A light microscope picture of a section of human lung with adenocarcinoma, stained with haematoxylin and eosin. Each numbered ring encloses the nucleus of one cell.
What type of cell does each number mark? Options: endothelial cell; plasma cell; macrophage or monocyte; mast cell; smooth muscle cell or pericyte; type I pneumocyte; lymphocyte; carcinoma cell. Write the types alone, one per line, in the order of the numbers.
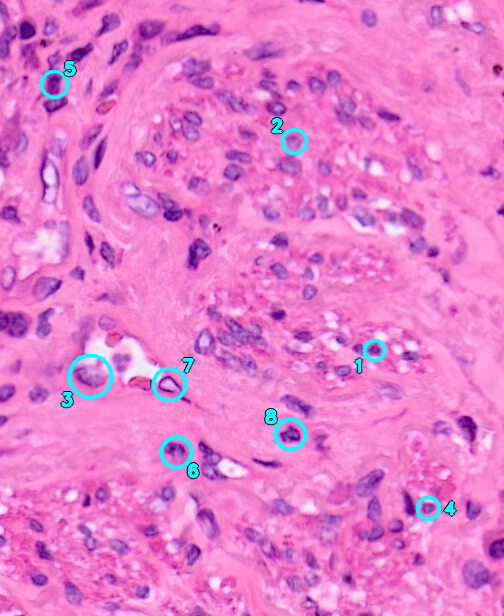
smooth muscle cell or pericyte
smooth muscle cell or pericyte
endothelial cell
smooth muscle cell or pericyte
plasma cell
mast cell
endothelial cell
mast cell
